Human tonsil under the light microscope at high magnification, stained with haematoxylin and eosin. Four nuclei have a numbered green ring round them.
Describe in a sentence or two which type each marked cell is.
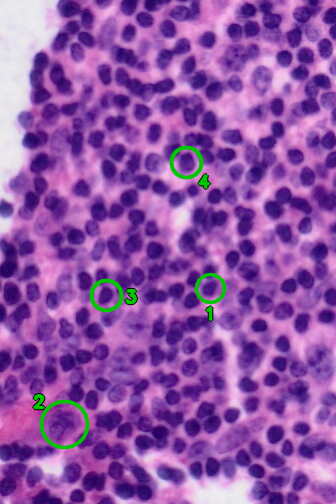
Cell 1 is a small lymphocyte, cell 2 is an endothelial cell, cell 3 is a small lymphocyte and cell 4 is a small lymphocyte.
